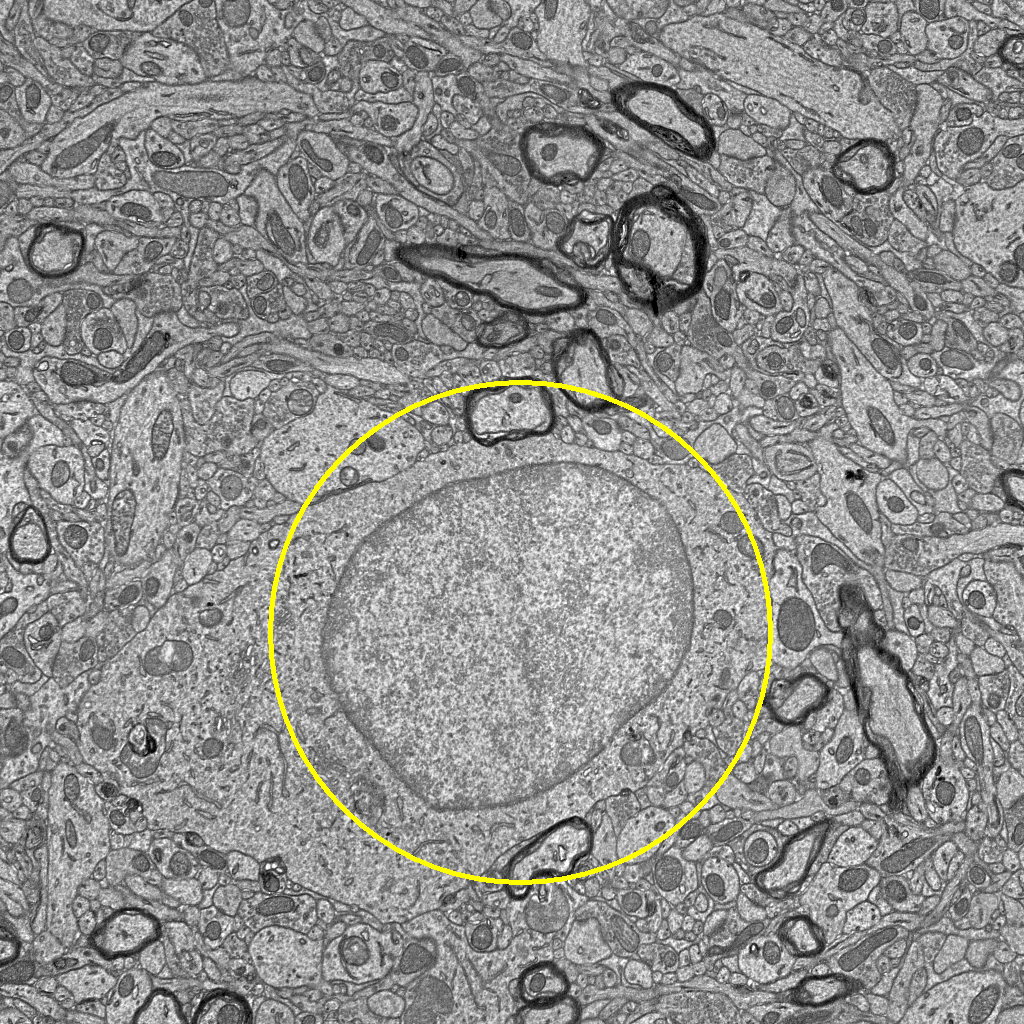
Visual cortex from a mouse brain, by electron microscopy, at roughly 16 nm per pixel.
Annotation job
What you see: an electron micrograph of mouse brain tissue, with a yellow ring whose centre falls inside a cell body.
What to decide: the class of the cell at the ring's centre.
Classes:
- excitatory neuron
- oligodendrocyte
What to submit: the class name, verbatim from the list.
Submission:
oligodendrocyte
